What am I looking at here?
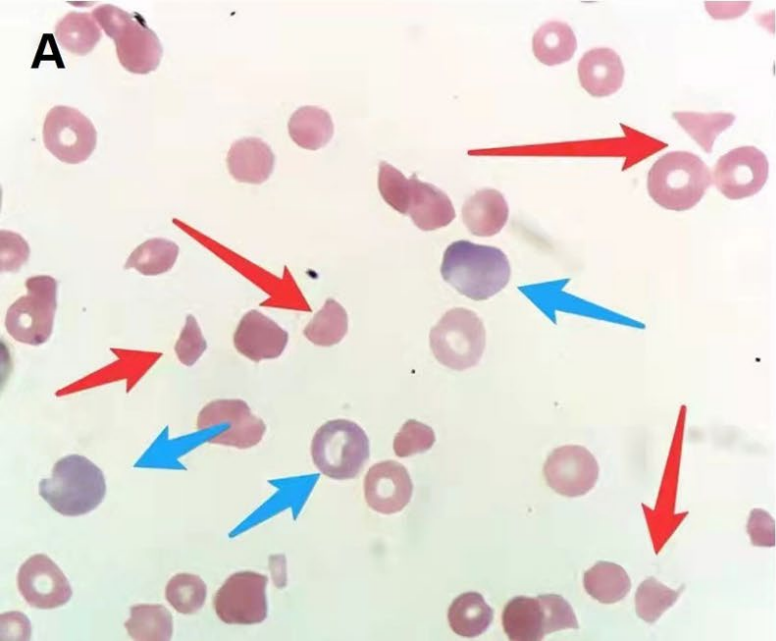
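This blood smear shows mostly red blood cells, among which lie small fragmented red cells and a few bluish-tinted red cells. The fragments are smaller than the normal red cells, with sharp angles, triangular or irregular outlines and no central pallor. The normal red cells are round, pink and show a pale central zone. The bluish-grey cells lack the pink tone of mature red cells, and some are slightly larger than their neighbours. No white cells are seen in this field.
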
